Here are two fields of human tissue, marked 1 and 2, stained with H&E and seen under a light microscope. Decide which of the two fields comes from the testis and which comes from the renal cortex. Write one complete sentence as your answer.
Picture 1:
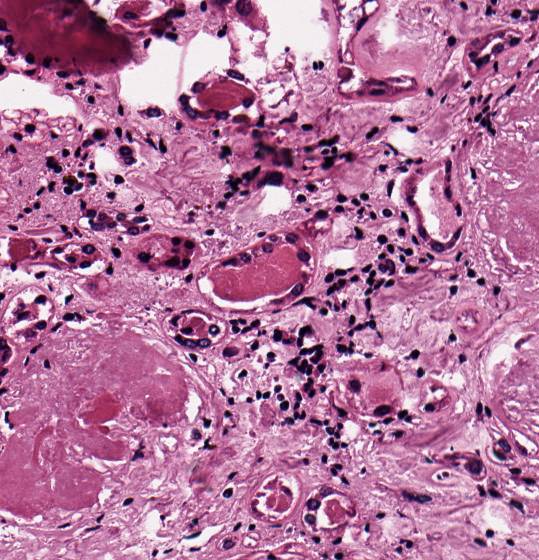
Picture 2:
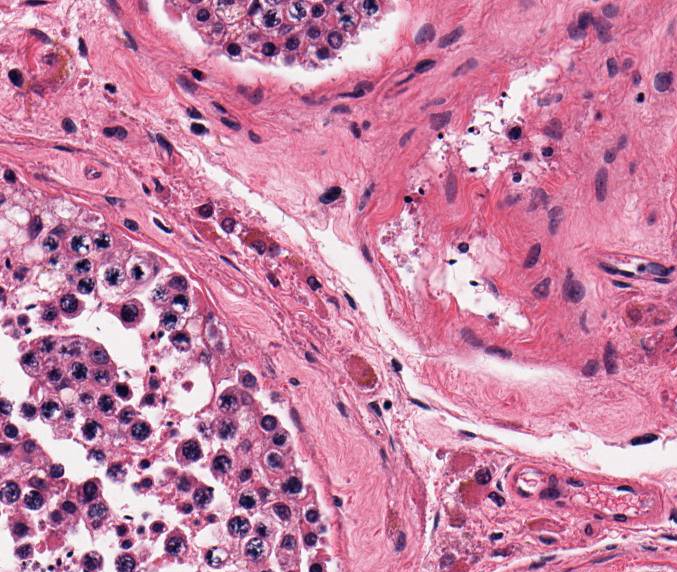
Picture 1 comes from the renal cortex; picture 2 comes from the testis.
